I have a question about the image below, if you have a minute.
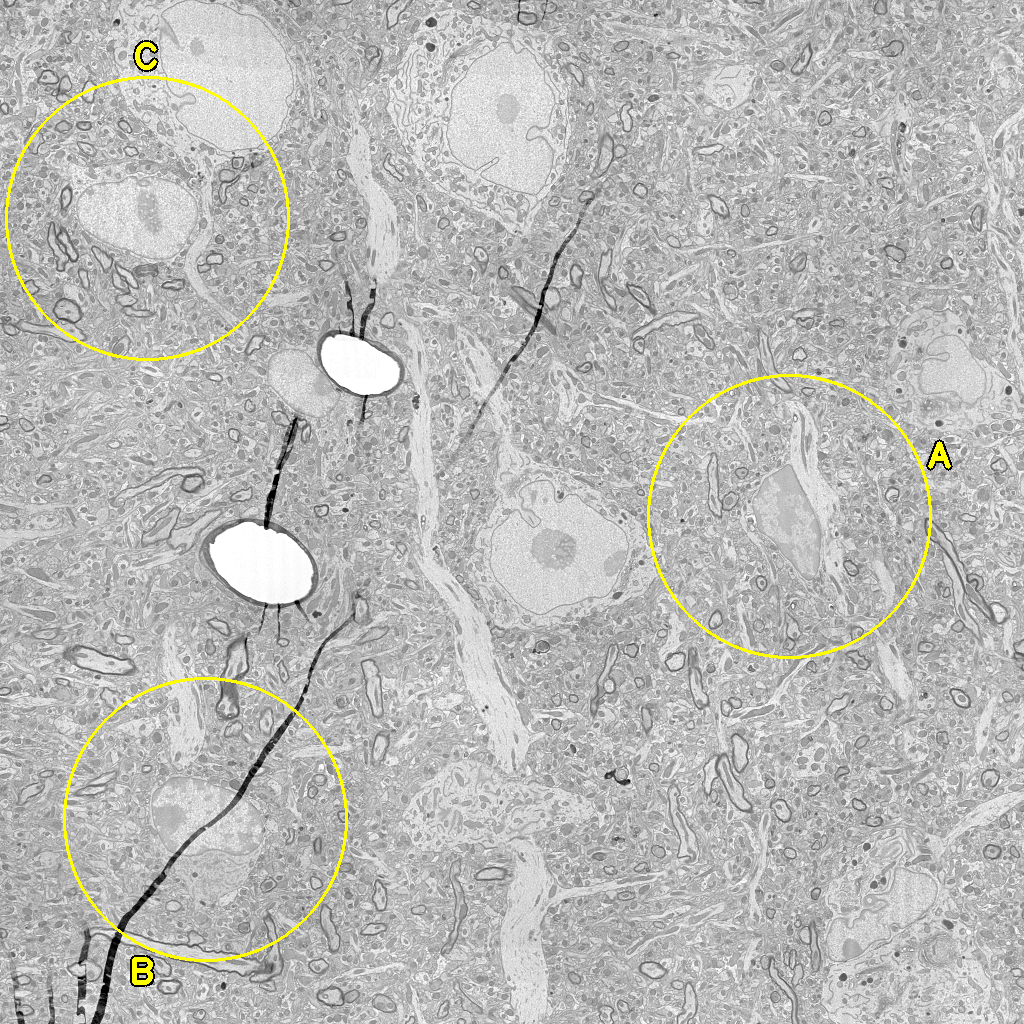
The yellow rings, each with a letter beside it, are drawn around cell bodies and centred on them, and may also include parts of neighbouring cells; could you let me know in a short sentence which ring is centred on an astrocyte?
Ring C is centred on it.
